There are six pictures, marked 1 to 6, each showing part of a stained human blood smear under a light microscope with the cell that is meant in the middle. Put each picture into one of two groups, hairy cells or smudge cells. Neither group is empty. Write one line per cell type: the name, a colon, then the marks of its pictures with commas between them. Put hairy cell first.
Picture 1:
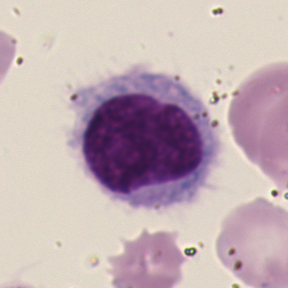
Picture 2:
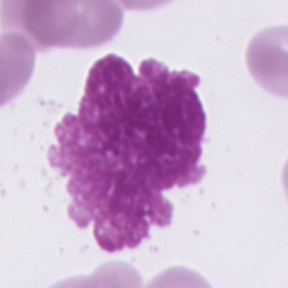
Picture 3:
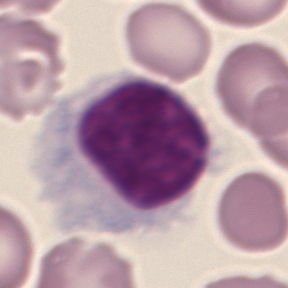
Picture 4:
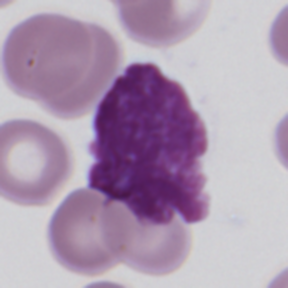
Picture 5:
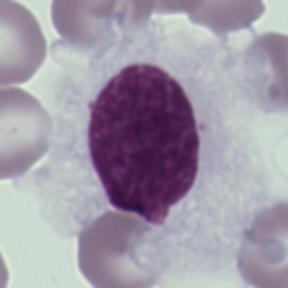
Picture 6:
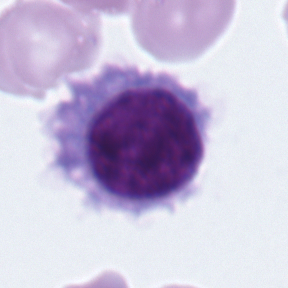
hairy cell: 1, 3, 5, 6
smudge cell: 2, 4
